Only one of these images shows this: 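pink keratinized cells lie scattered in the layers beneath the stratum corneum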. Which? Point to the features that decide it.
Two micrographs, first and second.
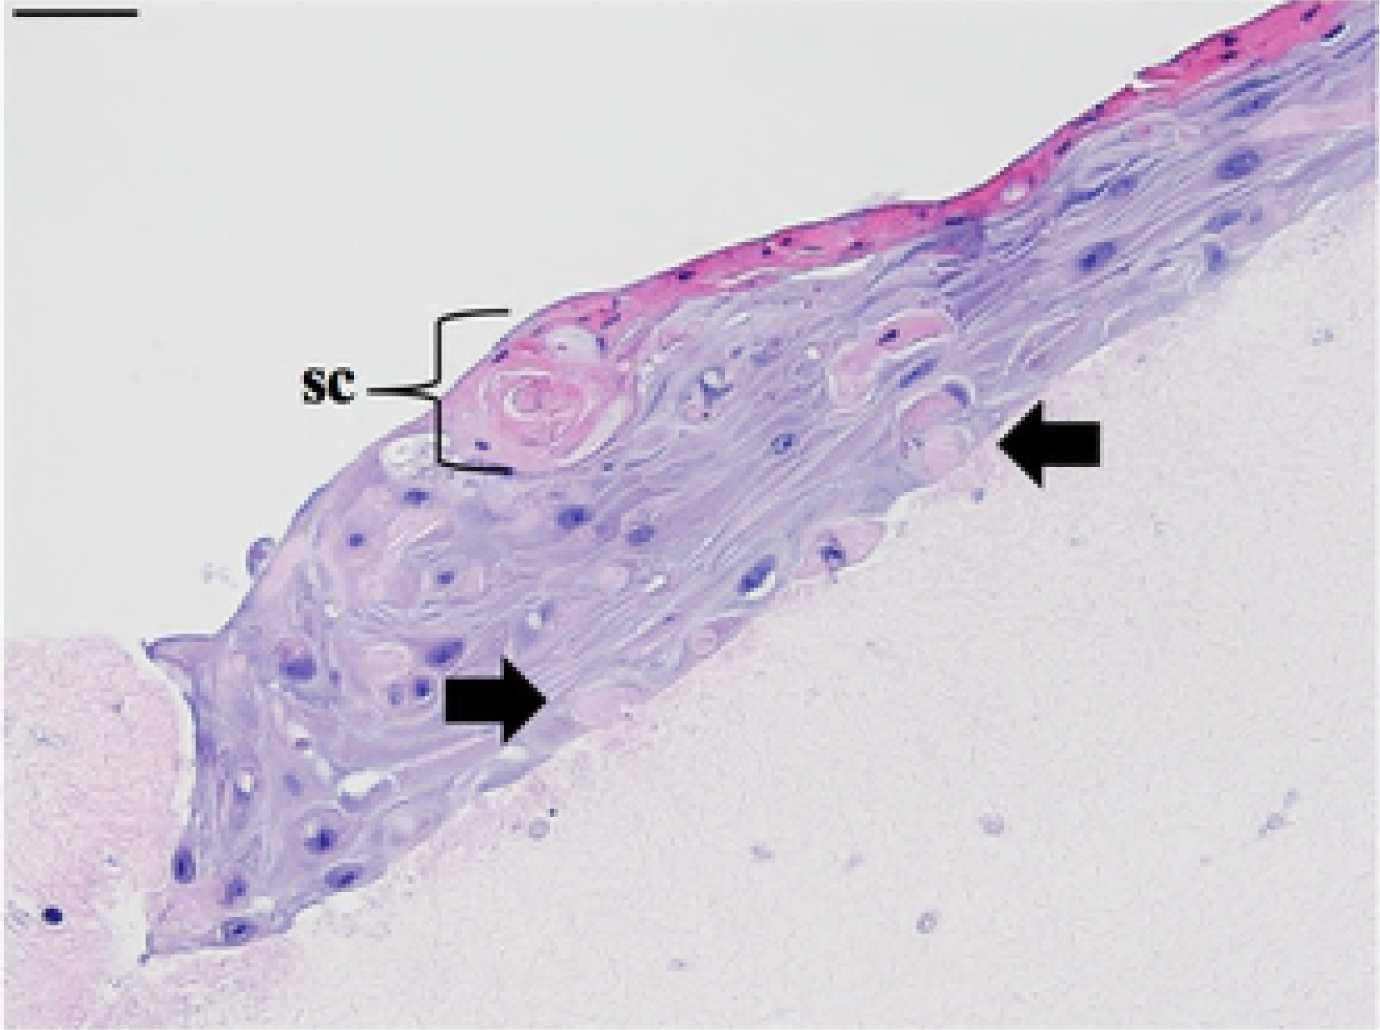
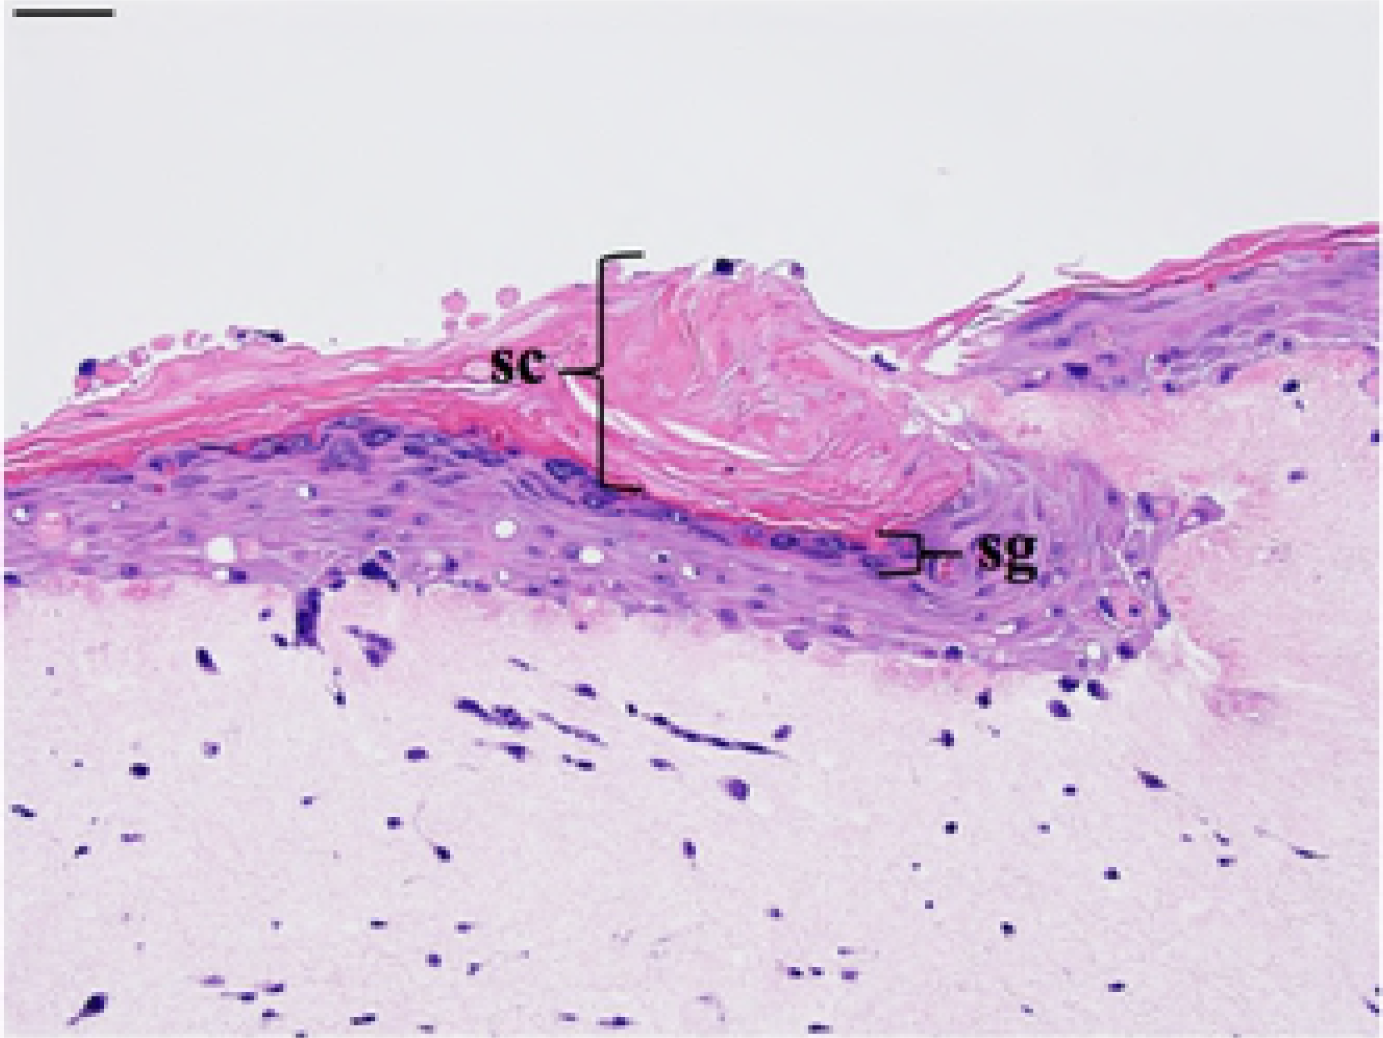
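First image: rounded pink cells and a pink whorl sit within the deeper blue-purple layers. Second image: the pink keratin is confined to the thick layered surface above a dark granular layer.
Answer: the first image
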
